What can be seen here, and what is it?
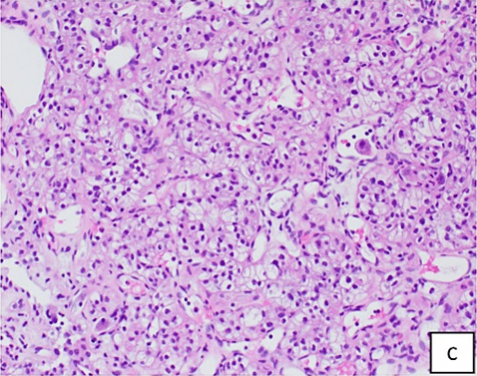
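Sheets and nests of tumour cells of a clear cell renal cell carcinoma fill the field, crossed by thin-walled capillaries containing red blood cells. The cells have pale, clear, vacuolated cytoplasm with sharp borders and small dark nuclei, many placed off-centre.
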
